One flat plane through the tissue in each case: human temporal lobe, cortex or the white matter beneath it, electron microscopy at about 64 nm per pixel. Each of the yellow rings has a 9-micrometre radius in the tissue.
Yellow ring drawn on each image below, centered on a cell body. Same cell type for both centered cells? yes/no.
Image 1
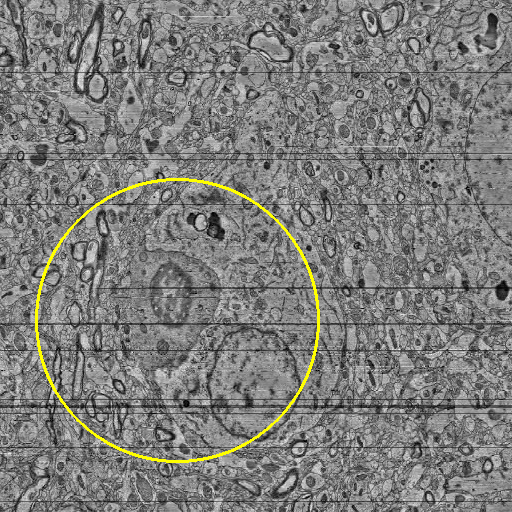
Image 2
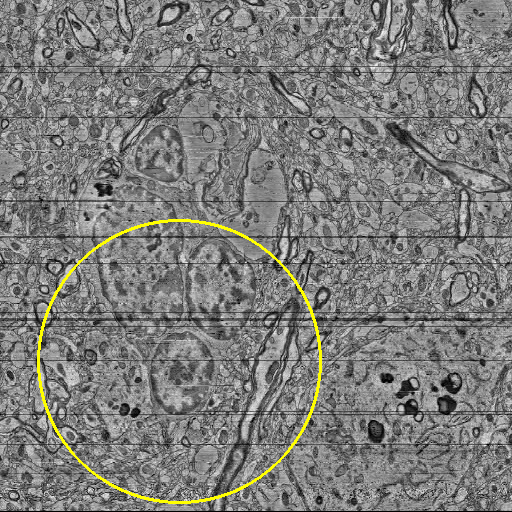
yes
